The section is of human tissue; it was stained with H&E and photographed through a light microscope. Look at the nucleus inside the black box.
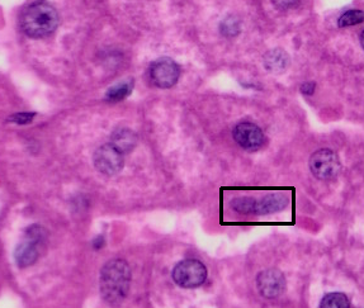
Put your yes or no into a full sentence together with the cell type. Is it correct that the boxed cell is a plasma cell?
No, rather than a plasma cell, the boxed cell is a Kupffer cell.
